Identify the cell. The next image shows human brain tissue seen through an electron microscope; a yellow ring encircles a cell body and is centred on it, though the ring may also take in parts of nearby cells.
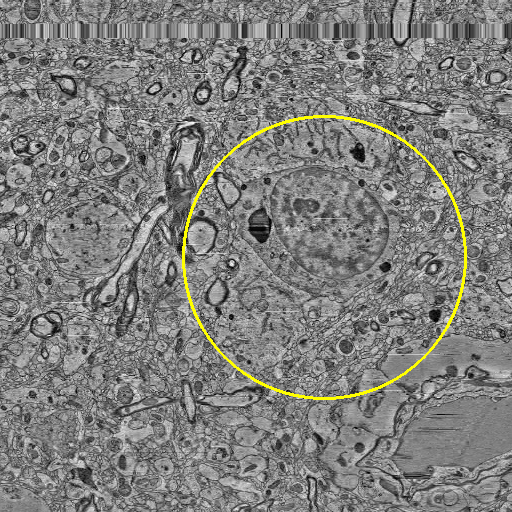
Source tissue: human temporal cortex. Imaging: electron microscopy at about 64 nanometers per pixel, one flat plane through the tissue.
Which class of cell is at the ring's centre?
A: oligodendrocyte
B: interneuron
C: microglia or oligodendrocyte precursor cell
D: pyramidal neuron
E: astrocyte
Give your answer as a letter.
A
